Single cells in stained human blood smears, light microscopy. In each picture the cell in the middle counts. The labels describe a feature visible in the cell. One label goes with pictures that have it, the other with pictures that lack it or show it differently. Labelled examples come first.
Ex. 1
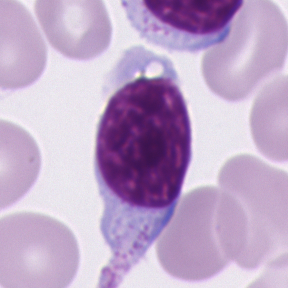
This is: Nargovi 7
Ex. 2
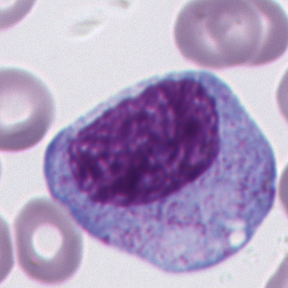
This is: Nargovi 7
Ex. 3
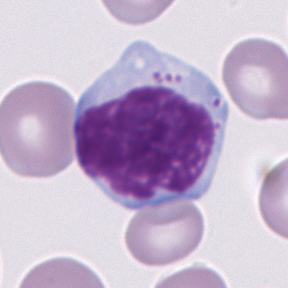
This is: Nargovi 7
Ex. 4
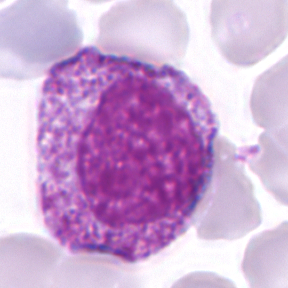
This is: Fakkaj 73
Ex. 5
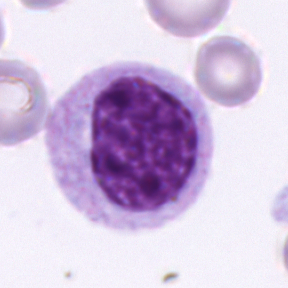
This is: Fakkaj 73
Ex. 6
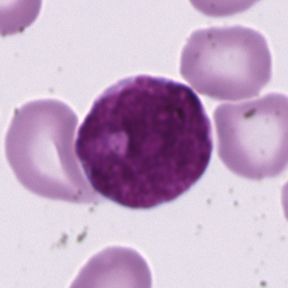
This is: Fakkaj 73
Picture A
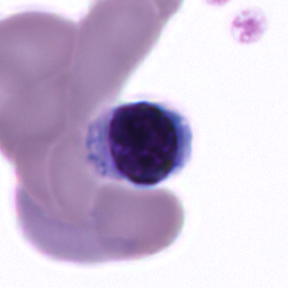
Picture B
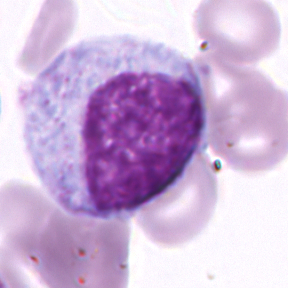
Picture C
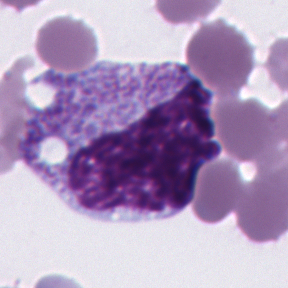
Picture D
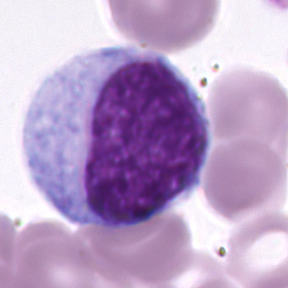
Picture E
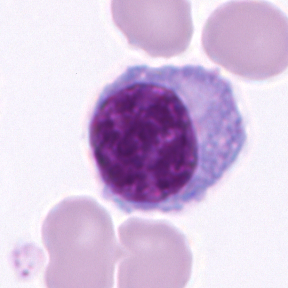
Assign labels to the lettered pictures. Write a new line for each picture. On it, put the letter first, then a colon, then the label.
A: Nargovi 7
B: Fakkaj 73
C: Nargovi 7
D: Fakkaj 73
E: Fakkaj 73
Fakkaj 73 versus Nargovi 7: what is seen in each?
Seen in Fakkaj 73: no vacuoles; seen in Nargovi 7: vacuoles present.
